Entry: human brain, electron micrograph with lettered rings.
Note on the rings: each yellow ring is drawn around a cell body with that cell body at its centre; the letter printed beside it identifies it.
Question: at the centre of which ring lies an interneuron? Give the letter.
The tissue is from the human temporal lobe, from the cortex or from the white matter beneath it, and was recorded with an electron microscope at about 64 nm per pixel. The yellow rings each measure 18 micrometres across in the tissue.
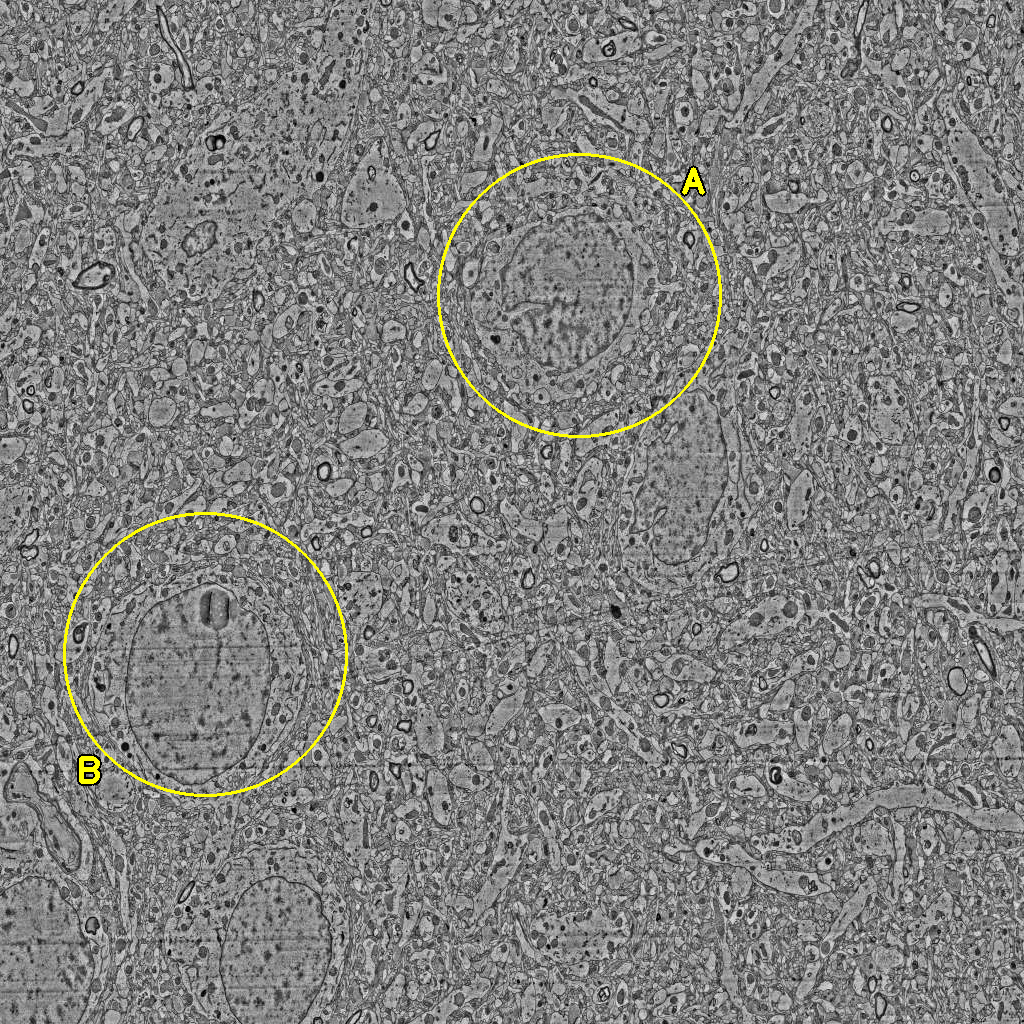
A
